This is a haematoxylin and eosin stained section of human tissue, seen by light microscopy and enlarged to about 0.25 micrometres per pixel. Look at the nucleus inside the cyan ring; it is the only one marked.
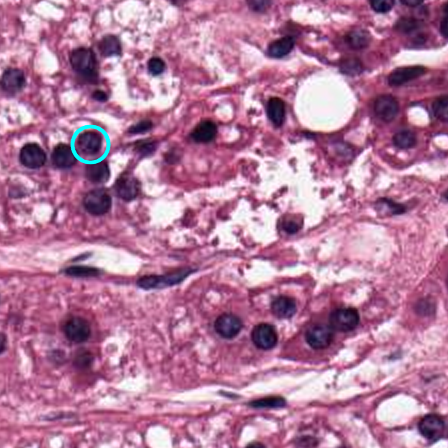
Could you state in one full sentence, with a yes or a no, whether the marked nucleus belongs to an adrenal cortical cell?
Yes, it is the nucleus of an adrenal cortical cell that has been marked.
